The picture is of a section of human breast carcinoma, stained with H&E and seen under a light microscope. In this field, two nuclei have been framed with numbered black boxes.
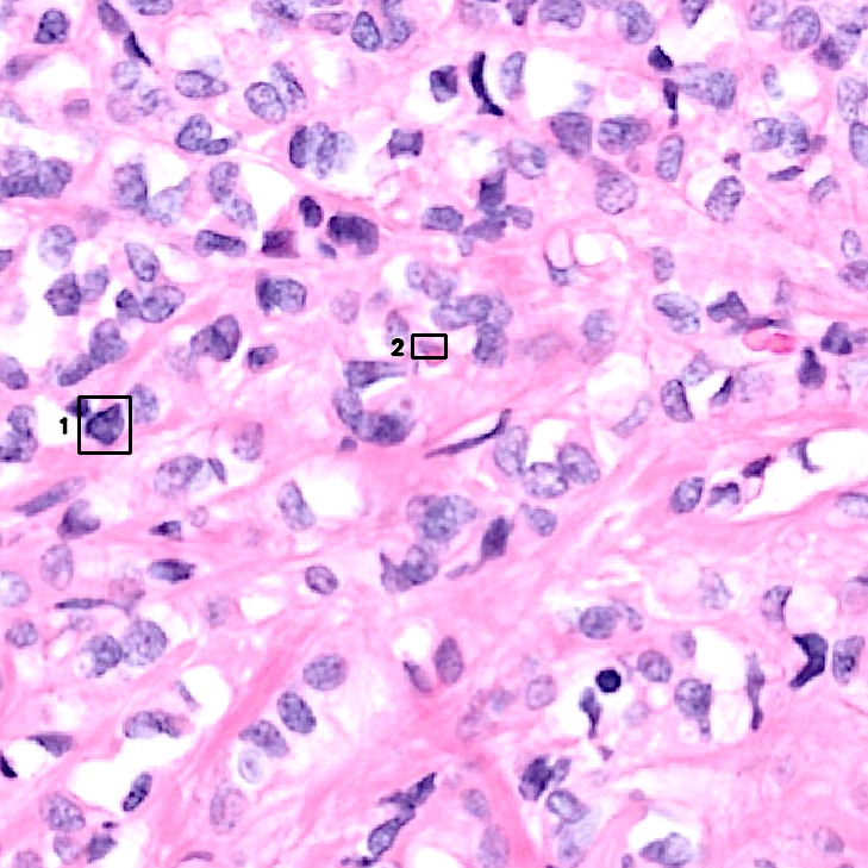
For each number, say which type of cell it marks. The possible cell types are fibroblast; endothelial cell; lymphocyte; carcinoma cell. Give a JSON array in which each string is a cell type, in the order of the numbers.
["carcinoma cell", "endothelial cell"]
